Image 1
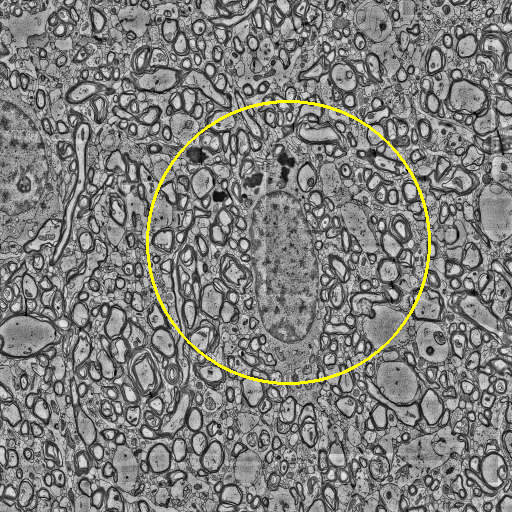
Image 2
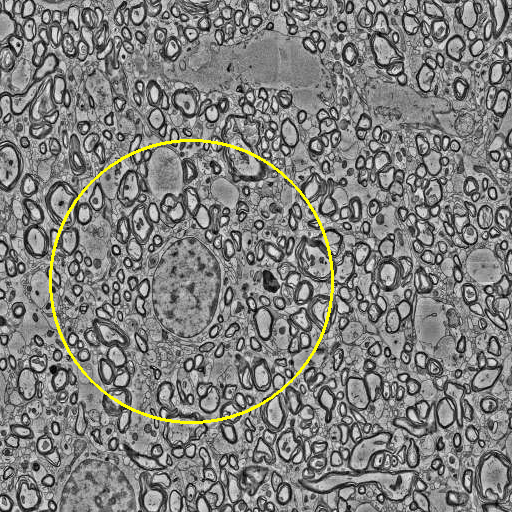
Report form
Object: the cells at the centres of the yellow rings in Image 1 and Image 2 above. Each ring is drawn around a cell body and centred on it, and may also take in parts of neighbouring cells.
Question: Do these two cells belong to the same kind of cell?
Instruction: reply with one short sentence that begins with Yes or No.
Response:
No, they belong to two kinds of cell.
